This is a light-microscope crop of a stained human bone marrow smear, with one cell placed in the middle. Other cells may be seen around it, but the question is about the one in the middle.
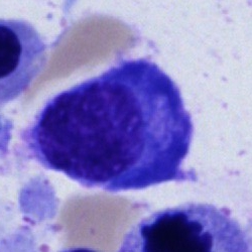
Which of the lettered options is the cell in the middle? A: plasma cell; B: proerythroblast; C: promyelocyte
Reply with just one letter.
A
